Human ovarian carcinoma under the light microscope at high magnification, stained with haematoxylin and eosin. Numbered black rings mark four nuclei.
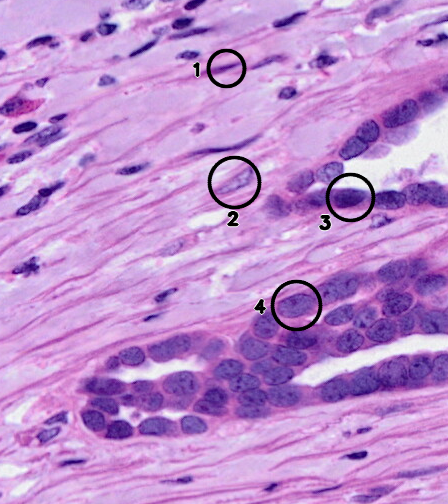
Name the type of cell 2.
fibroblast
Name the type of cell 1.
fibroblast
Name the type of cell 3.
carcinoma cell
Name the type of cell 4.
carcinoma cell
